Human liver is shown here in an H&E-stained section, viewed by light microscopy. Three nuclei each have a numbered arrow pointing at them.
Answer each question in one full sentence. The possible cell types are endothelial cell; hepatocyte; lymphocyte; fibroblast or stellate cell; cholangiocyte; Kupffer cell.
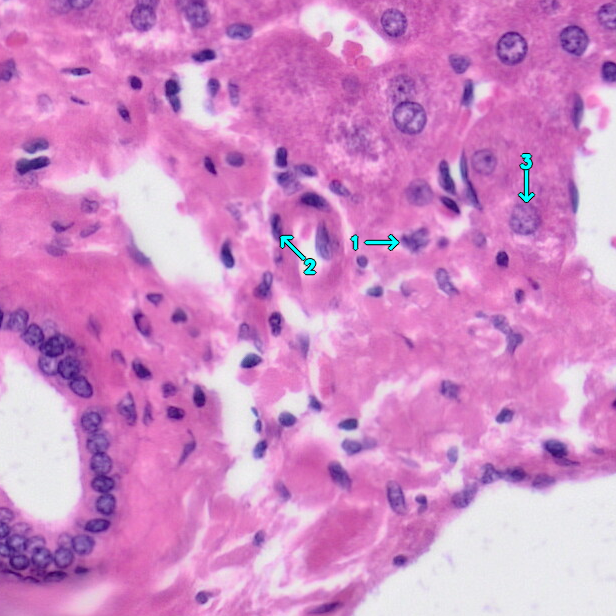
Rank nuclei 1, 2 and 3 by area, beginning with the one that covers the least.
The order from the smallest nucleus to the largest is 2, 1, 3.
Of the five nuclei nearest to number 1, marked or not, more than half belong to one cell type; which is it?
Around number 1, most of the five nearest nuclei are those of fibroblasts or stellate cells.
